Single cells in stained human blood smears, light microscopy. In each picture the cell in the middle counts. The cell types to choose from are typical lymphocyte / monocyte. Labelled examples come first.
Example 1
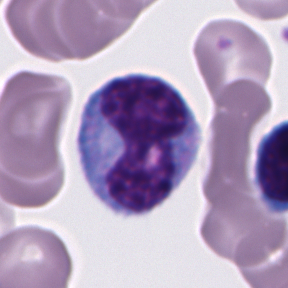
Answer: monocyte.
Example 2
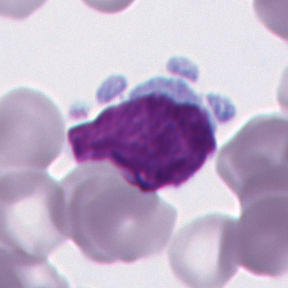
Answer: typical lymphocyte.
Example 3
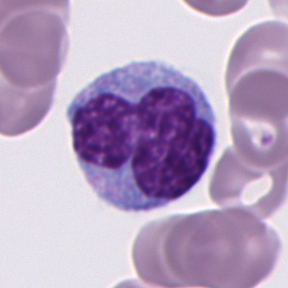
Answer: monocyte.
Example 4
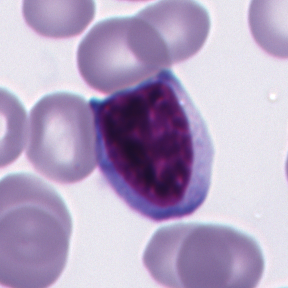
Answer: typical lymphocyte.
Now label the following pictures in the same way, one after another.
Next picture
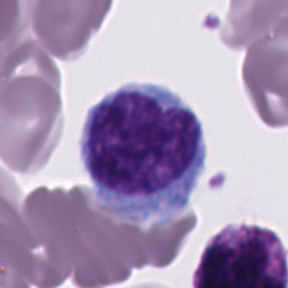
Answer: monocyte.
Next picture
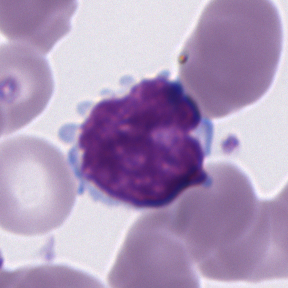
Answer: typical lymphocyte.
